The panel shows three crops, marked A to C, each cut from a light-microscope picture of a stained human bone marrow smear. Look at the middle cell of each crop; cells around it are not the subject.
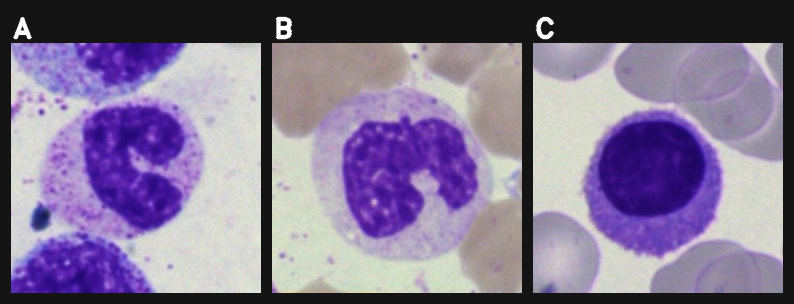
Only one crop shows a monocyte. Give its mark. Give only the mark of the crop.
C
